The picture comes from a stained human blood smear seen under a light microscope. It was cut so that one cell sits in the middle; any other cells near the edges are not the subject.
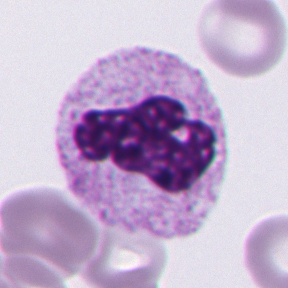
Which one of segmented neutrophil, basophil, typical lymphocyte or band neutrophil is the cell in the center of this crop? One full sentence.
The cell in the middle of the field of view is a segmented neutrophil.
